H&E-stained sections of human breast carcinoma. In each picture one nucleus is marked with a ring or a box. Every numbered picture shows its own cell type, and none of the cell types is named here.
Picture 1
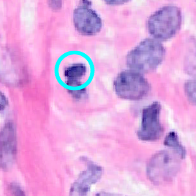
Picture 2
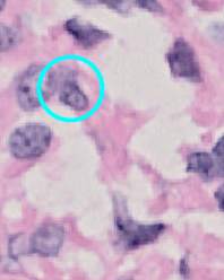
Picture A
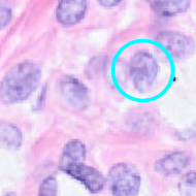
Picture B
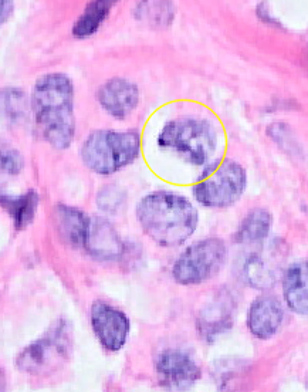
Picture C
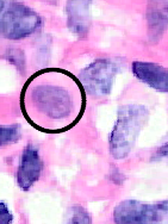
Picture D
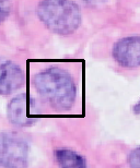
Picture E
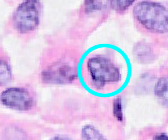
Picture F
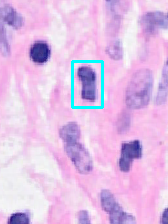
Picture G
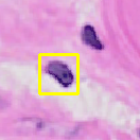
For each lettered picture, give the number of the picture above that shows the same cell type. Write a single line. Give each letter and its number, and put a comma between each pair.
A 2, B 2, C 2, D 2, E 2, F 1, G 1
